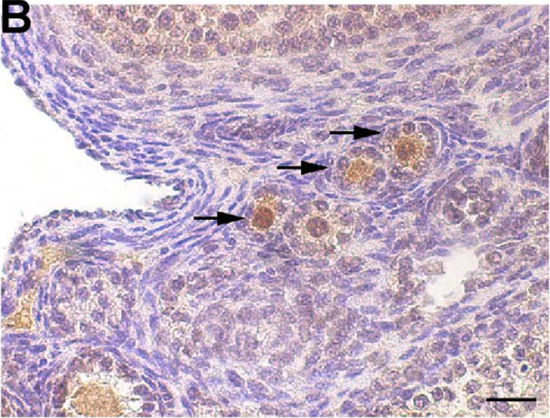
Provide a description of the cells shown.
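This is ovarian tissue with small follicles set in a stroma of spindle-shaped cells with elongated blue nuclei. Several follicles hold a large round oocyte whose cytoplasm is stained brown, each ringed by a single layer of small cells. The stroma between the follicles runs in streams around them, and a cleft from the surface cuts into the tissue at the left. Larger follicles with many layers of small cells lie at the top and bottom with faint brownish staining.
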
